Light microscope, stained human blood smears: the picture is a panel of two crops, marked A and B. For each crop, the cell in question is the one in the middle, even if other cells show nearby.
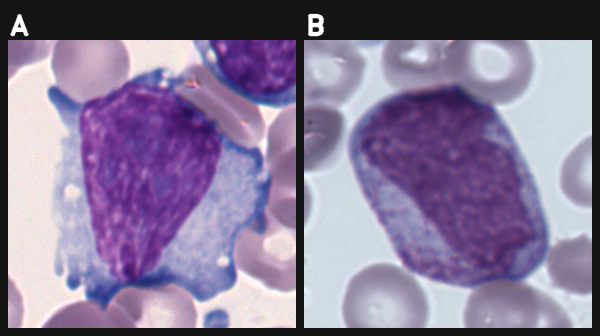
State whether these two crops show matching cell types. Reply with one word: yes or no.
no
